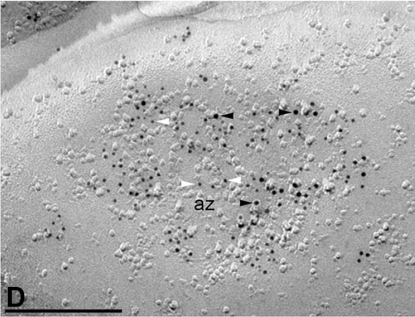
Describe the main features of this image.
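A freeze-fracture replica of the protoplasmic face of an axon terminal membrane with an oval active zone at its center. The active zone is marked by a slight depression and a dense population of intramembrane particles, much denser than in the surrounding membrane. Dark gold particles of two sizes are distributed through this area, mixed together rather than in separate groups.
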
